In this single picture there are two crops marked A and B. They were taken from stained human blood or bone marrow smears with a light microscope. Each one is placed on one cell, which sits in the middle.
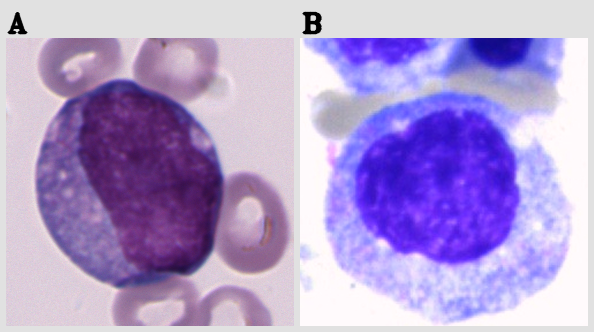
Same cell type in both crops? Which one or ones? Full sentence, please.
Yes, the central cells in both of the crops are promyelocytes.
